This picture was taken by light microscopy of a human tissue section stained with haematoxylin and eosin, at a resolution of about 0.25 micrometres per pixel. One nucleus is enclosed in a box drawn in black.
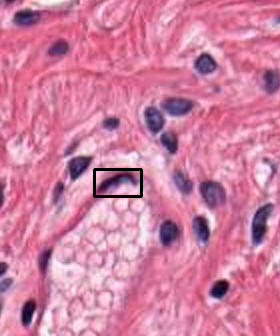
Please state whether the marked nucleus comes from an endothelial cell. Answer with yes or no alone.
yes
